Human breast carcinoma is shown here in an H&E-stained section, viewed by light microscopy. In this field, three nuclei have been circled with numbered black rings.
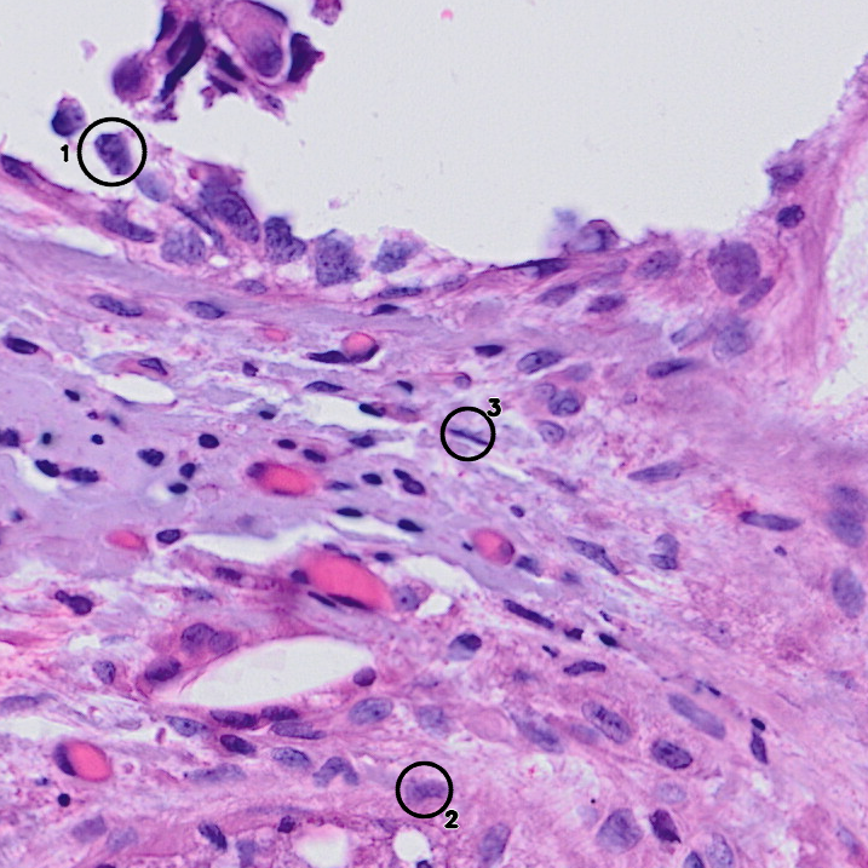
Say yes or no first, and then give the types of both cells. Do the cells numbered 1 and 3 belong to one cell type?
No, cell 1 is a carcinoma cell and cell 3 is a fibroblast.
